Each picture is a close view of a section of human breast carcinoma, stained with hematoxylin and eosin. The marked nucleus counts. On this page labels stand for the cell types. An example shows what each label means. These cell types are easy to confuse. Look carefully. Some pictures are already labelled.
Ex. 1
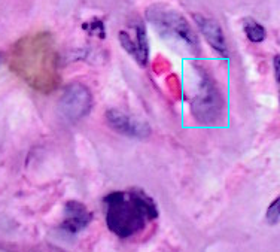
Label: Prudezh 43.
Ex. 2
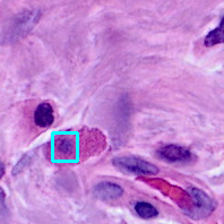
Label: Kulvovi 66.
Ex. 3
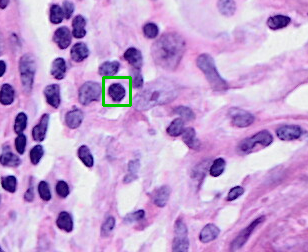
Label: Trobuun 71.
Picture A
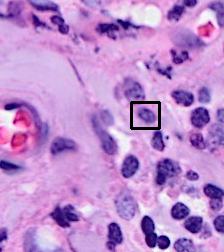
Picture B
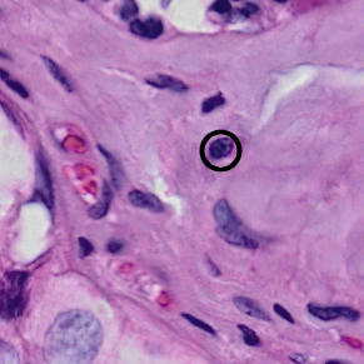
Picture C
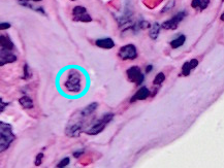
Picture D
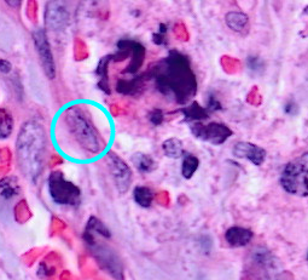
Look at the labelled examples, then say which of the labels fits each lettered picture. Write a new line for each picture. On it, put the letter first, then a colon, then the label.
A: Kulvovi 66.
B: Kulvovi 66.
C: Kulvovi 66.
D: Prudezh 43.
